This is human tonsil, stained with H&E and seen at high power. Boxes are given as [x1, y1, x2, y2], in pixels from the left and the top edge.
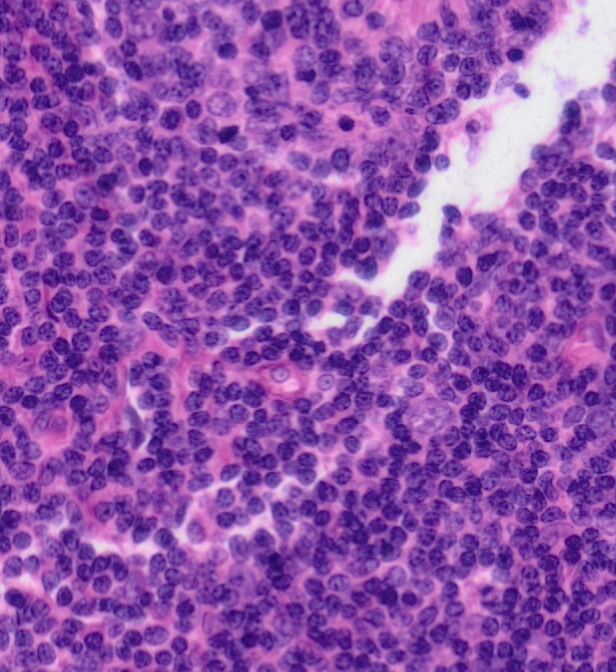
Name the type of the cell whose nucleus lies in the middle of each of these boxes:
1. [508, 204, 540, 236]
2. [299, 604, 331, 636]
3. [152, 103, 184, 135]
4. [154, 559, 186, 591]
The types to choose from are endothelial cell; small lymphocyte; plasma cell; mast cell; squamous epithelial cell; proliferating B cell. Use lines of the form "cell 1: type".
cell 1: small lymphocyte
cell 2: small lymphocyte
cell 3: proliferating B cell
cell 4: small lymphocyte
